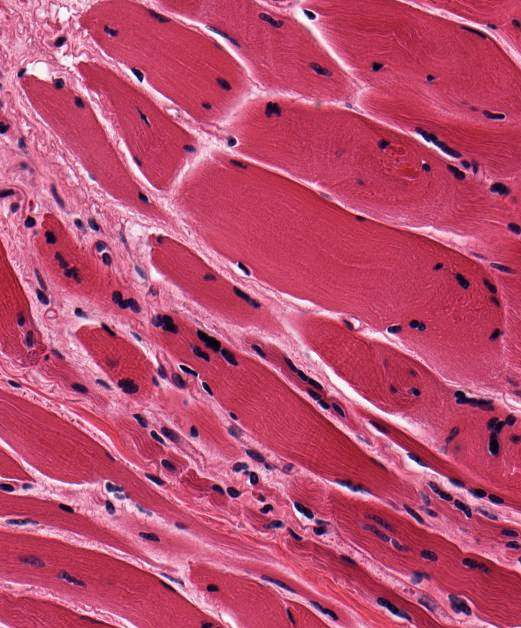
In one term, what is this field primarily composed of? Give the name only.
skeletal muscle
